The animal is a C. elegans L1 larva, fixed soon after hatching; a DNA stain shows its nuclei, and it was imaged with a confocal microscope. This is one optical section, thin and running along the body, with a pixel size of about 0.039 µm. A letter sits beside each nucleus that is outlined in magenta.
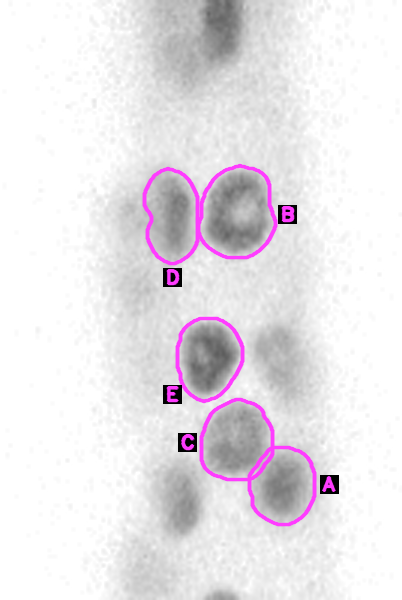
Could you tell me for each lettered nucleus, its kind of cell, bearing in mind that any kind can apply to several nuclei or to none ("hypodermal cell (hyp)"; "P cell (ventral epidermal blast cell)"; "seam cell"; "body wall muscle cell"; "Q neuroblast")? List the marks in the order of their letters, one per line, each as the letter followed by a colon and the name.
A: Q neuroblast
B: seam cell
C: seam cell
D: body wall muscle cell
E: P cell (ventral epidermal blast cell)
